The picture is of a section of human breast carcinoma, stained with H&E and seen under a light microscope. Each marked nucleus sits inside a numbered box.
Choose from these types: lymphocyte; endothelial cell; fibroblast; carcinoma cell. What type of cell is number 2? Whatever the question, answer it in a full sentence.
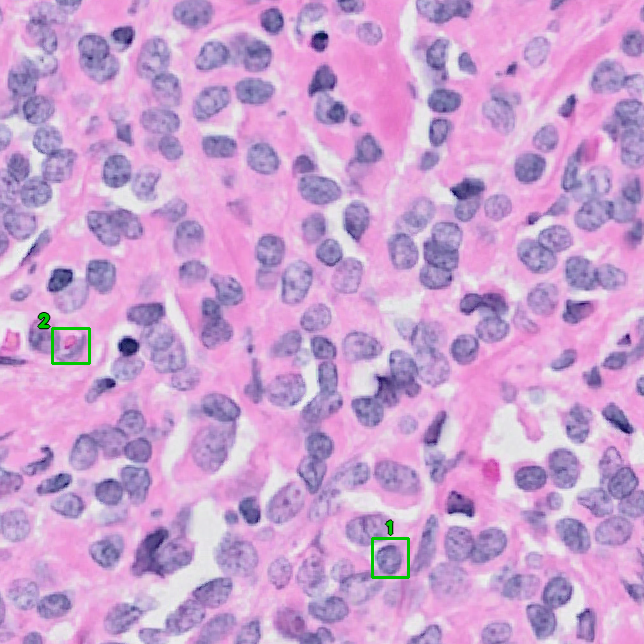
The marked cell bearing number 2 is an endothelial cell.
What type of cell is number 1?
The cell identified by number 1 is a carcinoma cell.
